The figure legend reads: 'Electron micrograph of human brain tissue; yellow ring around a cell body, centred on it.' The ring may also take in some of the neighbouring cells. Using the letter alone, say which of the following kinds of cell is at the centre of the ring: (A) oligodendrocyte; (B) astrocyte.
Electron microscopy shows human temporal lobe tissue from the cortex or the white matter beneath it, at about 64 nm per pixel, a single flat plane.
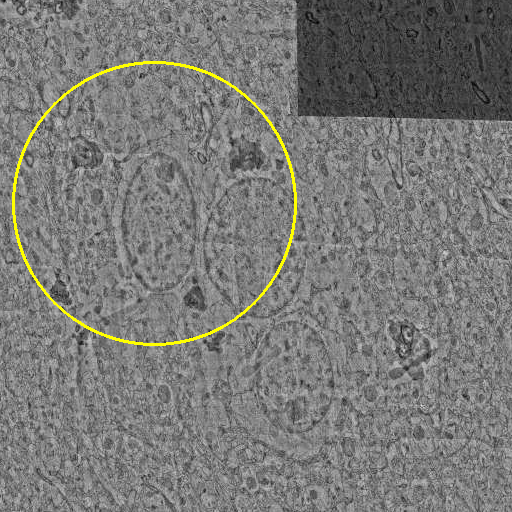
B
